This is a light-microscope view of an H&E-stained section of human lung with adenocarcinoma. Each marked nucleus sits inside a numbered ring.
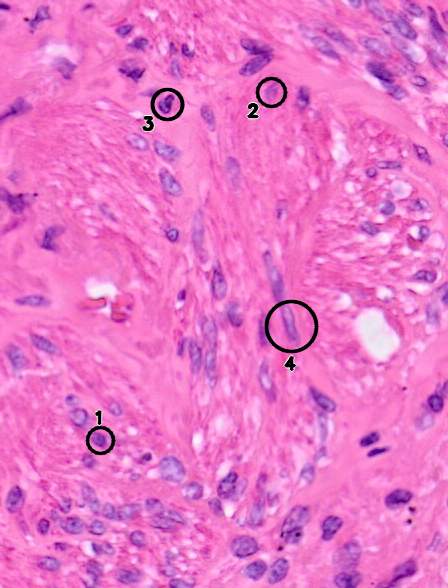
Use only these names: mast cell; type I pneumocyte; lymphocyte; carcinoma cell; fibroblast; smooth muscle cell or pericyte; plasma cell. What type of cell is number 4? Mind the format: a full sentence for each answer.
Among the marked cells, number 4 is a smooth muscle cell or pericyte.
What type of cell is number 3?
The cell that is numbered 3 is a mast cell.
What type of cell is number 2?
Cell number 2 in this section is a smooth muscle cell or pericyte.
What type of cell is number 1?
Here, the cell given the number 1 is a smooth muscle cell or pericyte.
